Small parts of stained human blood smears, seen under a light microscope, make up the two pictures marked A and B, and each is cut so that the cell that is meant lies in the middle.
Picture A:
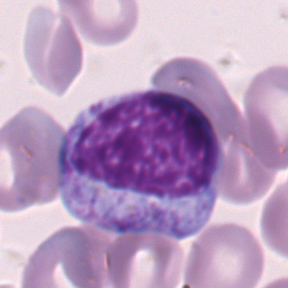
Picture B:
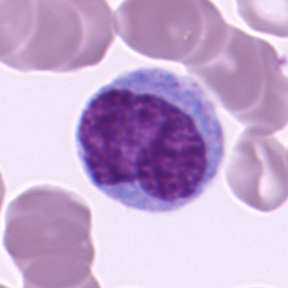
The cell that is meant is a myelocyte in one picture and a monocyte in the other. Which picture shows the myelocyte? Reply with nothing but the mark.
A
